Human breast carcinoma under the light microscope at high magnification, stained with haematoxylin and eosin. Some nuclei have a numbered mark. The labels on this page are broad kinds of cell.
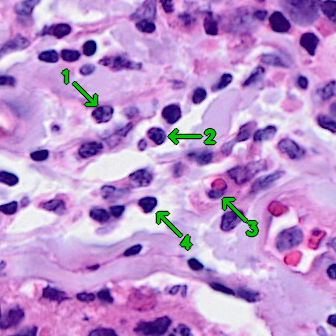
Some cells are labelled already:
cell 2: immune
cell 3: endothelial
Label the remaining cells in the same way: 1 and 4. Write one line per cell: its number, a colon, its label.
1: immune
4: immune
